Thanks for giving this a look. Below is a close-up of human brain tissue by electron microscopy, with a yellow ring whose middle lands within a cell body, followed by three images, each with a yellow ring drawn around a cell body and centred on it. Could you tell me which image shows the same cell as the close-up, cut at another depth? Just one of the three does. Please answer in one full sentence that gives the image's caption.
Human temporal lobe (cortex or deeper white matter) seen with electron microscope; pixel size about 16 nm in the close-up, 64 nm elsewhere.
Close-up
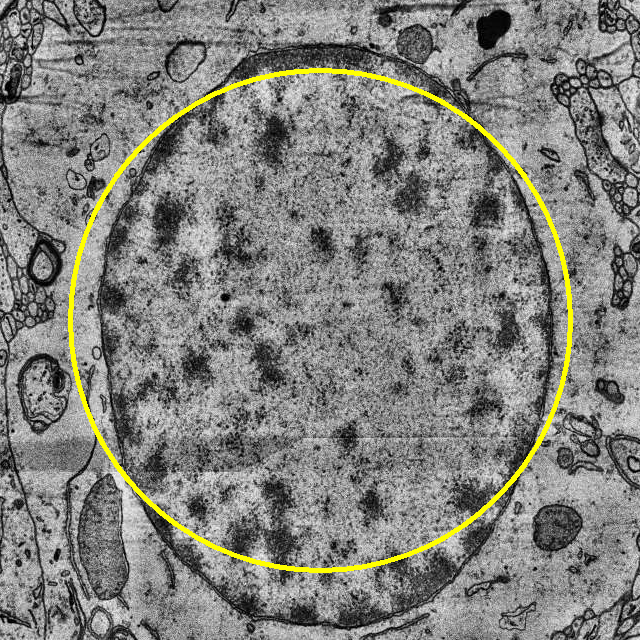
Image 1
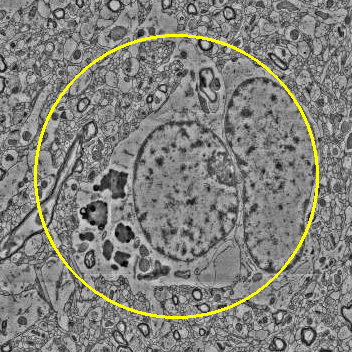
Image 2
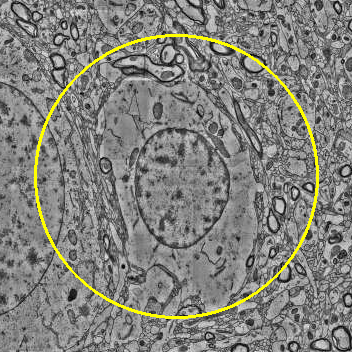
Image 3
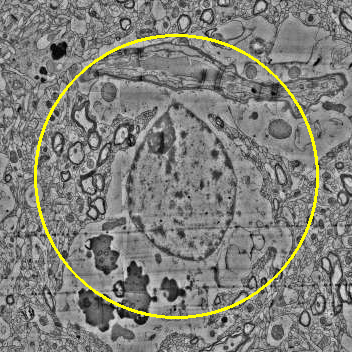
The cell enlarged for the close-up is ringed in Image 2.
